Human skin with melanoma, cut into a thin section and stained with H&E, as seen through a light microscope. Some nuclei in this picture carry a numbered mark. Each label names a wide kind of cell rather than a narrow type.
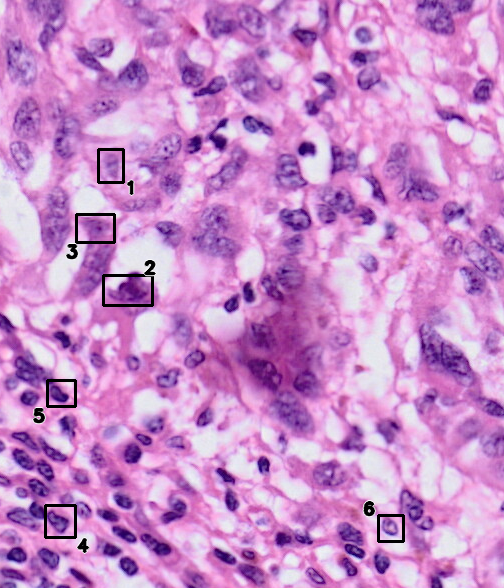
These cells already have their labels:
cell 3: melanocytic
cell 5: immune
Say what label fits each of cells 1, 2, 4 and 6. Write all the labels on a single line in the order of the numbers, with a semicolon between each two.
melanocytic; melanocytic; immune; immune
